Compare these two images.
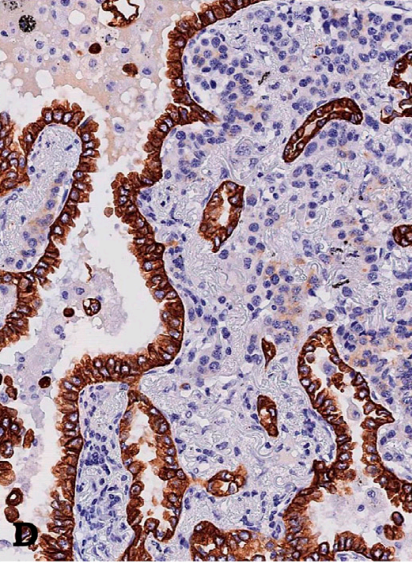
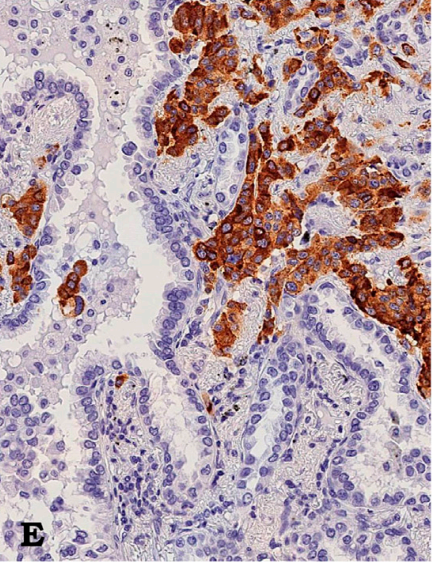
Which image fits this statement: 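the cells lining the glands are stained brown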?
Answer: The first image.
